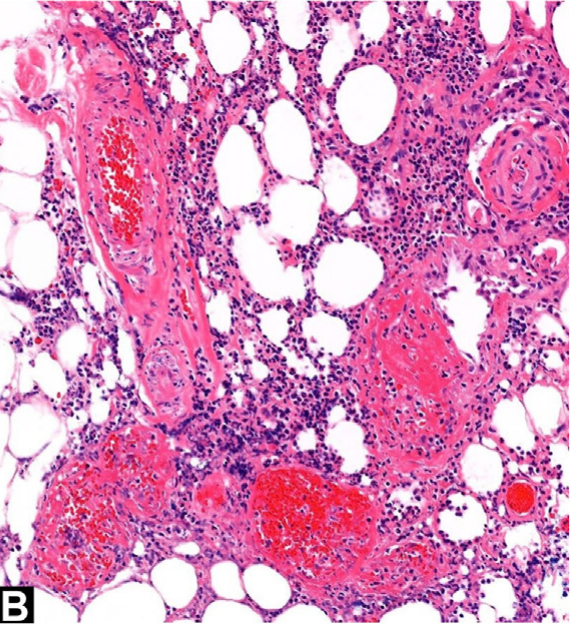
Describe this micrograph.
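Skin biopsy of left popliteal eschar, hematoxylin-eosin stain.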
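Large empty round spaces are fat cells, between which run several blood vessels. The vessels have thickened pink walls, and numerous small dark inflammatory cells crowd around and within them. Several vessel lumina are distended and packed with red blood cells. The inflammatory infiltrate also spreads into the septa between the fat cells.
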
